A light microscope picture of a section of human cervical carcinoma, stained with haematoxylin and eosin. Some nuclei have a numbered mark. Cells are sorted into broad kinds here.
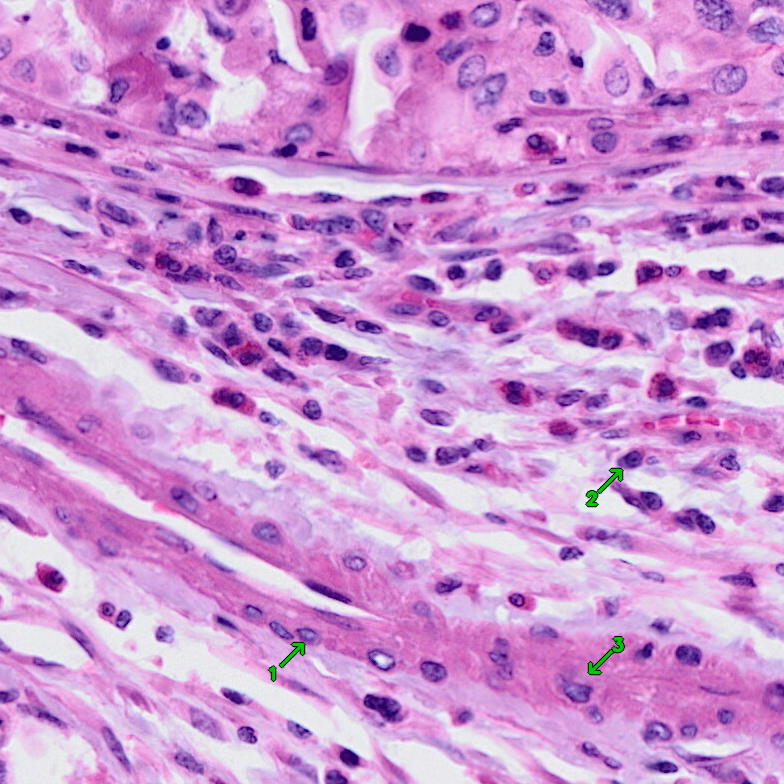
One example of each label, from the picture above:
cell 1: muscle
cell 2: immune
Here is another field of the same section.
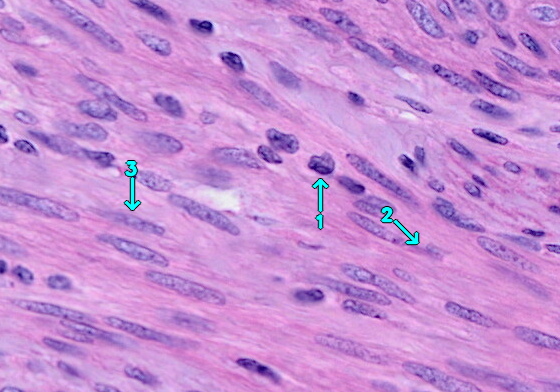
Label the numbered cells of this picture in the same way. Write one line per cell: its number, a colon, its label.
1: immune
2: muscle
3: muscle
